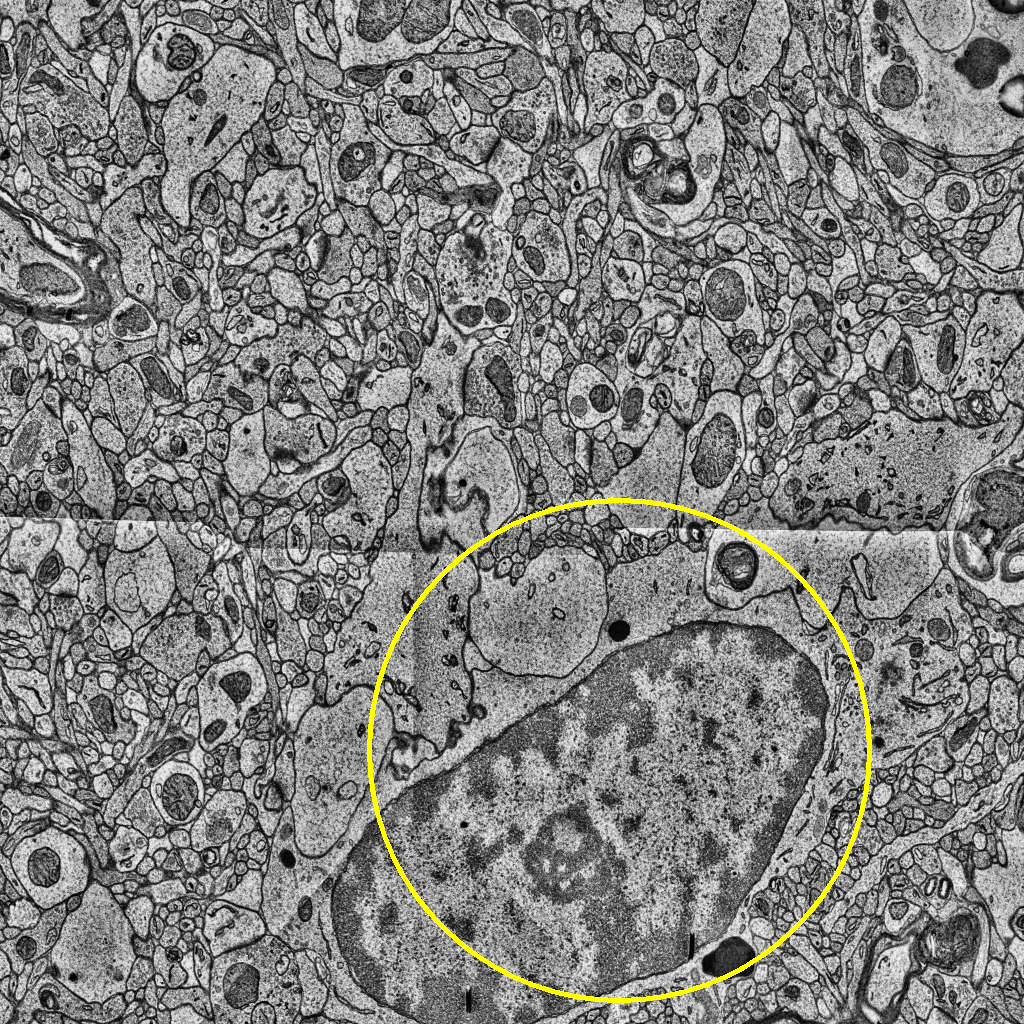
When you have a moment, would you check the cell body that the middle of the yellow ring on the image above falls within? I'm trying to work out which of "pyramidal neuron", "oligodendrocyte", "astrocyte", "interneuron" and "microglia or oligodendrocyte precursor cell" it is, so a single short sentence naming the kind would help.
This cell body belongs to a microglial cell or oligodendrocyte precursor cell.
